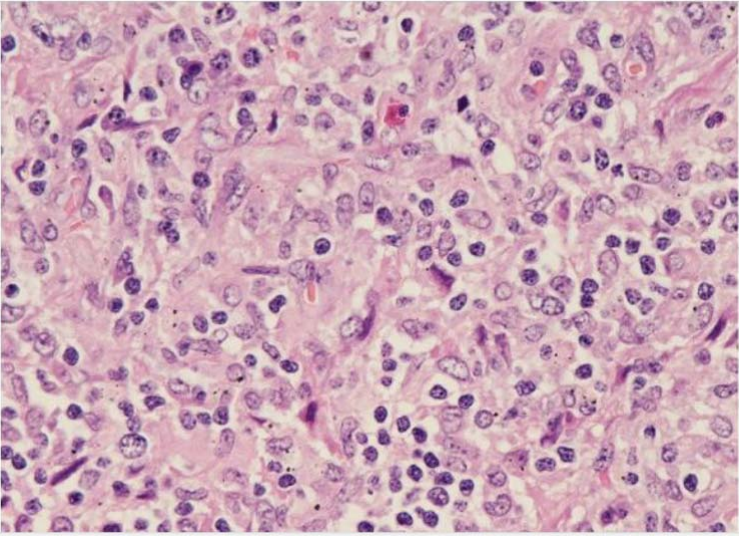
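This is a high-power view of a mixed population of large activated lymphoid cells and histiocytes set in pink cytoplasm, with scattered nuclear debris. Many cells have large oval to irregular nuclei with pale, open chromatin and small nucleoli. Between them lie smaller cells with dense, dark round nuclei. Some cells have more abundant pale pink cytoplasm and bent or indented nuclei, in keeping with histiocytes. Tiny dark dust-like fragments of broken-down nuclei are sprinkled throughout. No cells with multilobed nuclei are to be seen.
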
